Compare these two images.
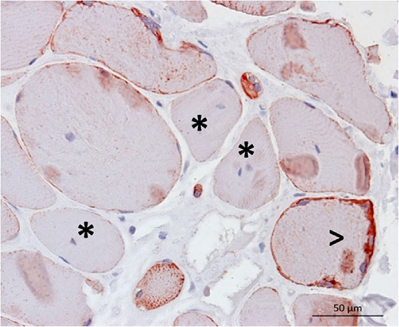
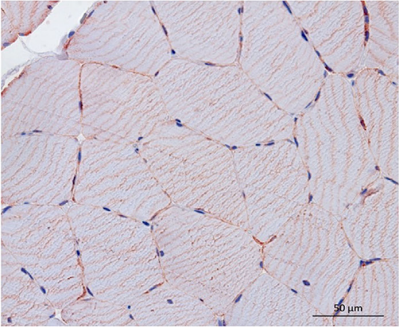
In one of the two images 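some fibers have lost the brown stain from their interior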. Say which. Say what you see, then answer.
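Second image: every fiber shows fine brown cross-striations and a brown rim. First image: several rounded fibers are pale and nearly unstained, while others carry patchy brown clumps. That points to this answer: the first image.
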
